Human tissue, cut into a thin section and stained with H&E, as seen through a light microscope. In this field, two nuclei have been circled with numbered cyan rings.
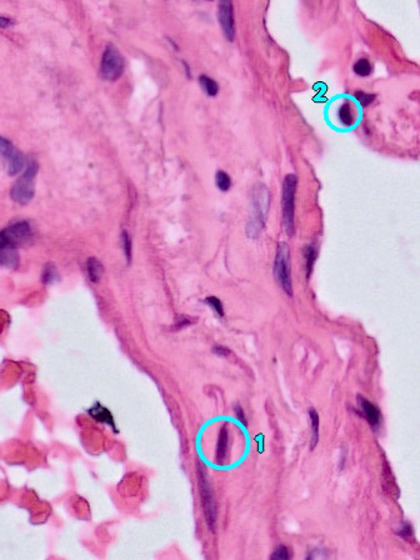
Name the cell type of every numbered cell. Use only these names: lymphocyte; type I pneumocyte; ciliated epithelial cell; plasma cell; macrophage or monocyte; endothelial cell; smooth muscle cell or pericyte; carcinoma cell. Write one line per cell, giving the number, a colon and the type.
1: smooth muscle cell or pericyte
2: type I pneumocyte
